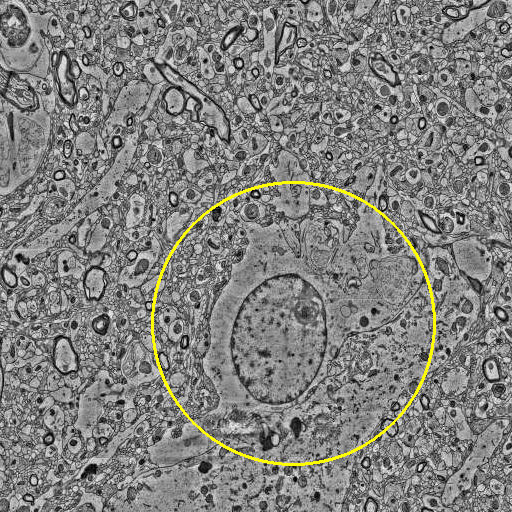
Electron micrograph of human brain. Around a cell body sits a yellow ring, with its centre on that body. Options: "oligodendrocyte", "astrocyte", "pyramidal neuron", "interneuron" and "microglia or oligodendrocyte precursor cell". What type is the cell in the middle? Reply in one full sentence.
The cell sitting at the centre of the yellow ring is an astrocyte.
